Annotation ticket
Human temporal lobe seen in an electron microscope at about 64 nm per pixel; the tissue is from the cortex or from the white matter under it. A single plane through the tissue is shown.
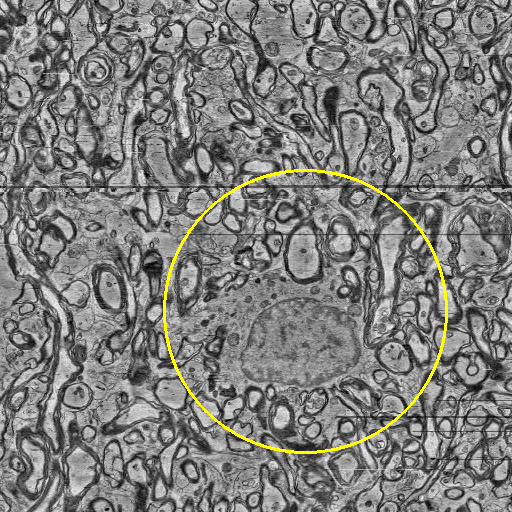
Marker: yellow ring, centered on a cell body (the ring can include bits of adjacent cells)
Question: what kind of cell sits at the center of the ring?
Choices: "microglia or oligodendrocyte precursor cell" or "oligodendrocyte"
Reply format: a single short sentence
The ring is centered on an oligodendrocyte.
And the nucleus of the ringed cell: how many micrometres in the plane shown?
In this plane the nucleus spans approximately 8 by 6 micrometers.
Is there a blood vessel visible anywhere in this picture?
No, the picture includes no blood vessel.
